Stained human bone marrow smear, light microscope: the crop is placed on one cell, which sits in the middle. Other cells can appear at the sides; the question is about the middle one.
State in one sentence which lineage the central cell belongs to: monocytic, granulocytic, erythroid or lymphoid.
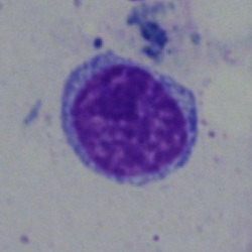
The cell at the middle of this crop is assigned to the lymphoid lineage.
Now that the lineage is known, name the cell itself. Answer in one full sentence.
Framed in the middle of the crop is a lymphocyte.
